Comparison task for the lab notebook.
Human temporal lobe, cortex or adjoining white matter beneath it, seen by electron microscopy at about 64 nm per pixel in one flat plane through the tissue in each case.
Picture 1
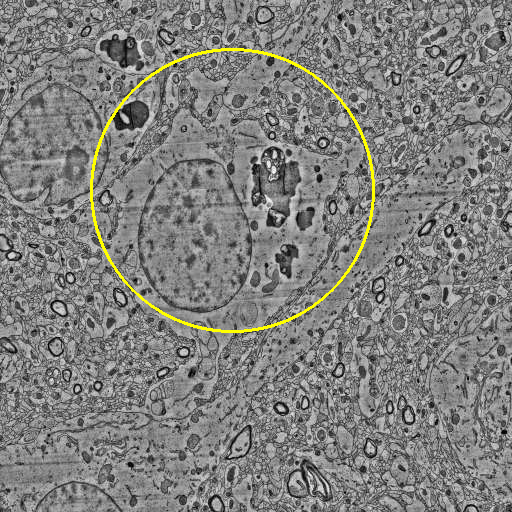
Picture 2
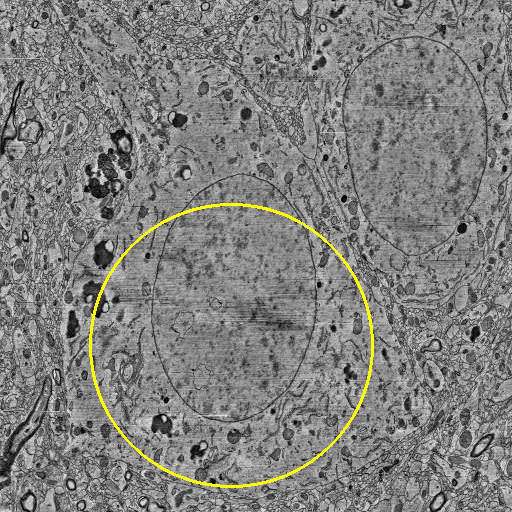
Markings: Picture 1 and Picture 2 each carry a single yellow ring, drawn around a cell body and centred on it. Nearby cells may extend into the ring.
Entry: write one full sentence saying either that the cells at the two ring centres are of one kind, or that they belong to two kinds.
The cells sitting at the ring centres in Picture 1 and Picture 2 belong to two kinds.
